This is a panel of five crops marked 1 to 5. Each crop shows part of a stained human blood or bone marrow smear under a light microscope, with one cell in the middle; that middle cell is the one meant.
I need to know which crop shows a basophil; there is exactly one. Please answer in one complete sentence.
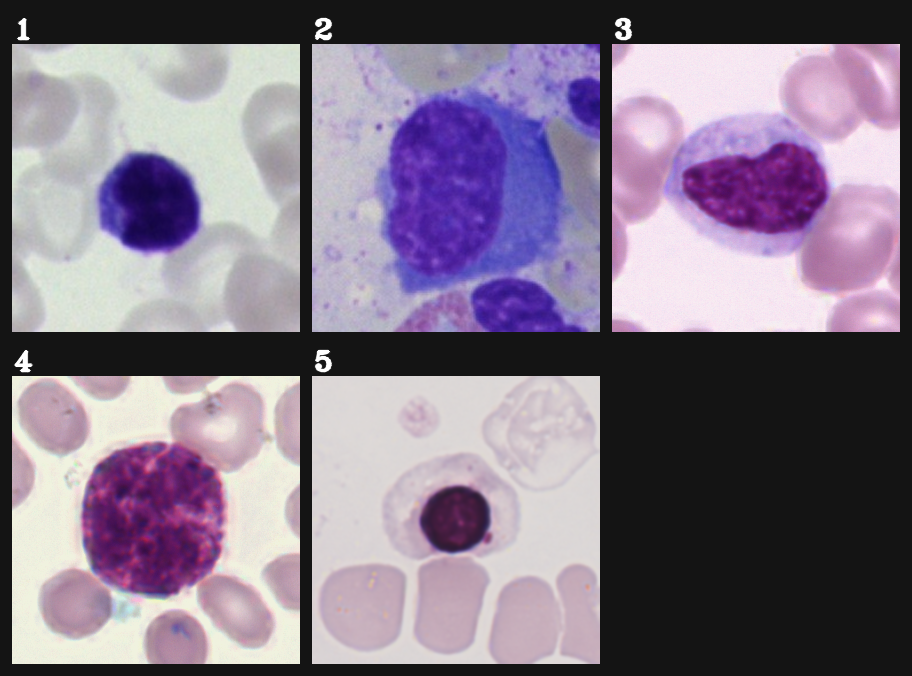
In the set of crops, crop 4 is the one that contains a basophil.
